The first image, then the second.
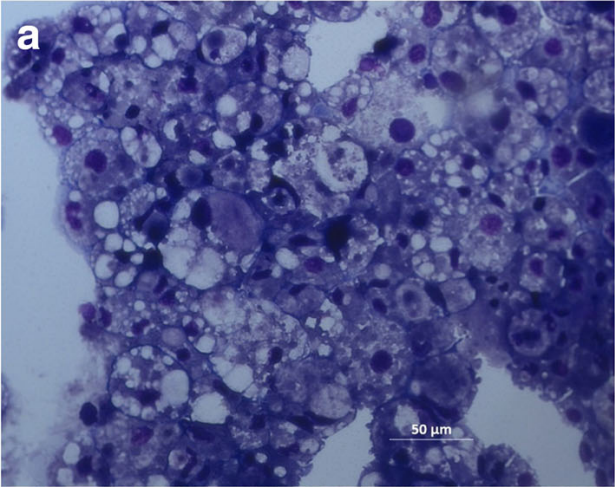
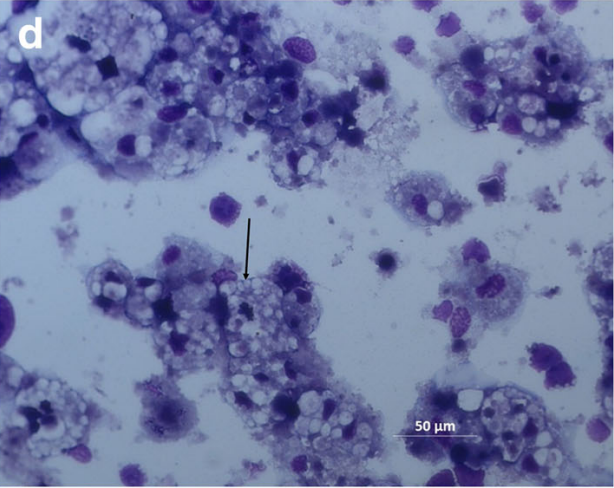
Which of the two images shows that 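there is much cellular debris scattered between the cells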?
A: The second image.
